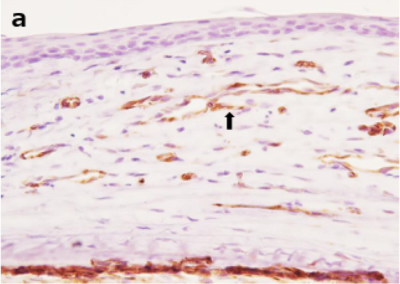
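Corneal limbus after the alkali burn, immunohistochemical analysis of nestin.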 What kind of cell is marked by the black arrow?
Endothelial cells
